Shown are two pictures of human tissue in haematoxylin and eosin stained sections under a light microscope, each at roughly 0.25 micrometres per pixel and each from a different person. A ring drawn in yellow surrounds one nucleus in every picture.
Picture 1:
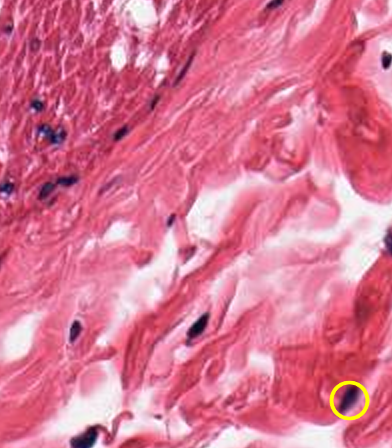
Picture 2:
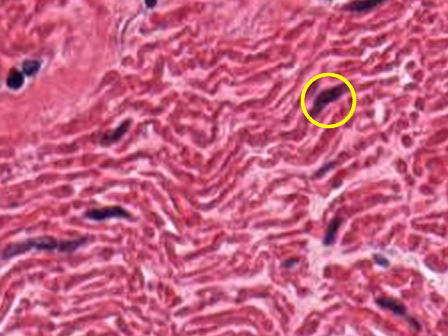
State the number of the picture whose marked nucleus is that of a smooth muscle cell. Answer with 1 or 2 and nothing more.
2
